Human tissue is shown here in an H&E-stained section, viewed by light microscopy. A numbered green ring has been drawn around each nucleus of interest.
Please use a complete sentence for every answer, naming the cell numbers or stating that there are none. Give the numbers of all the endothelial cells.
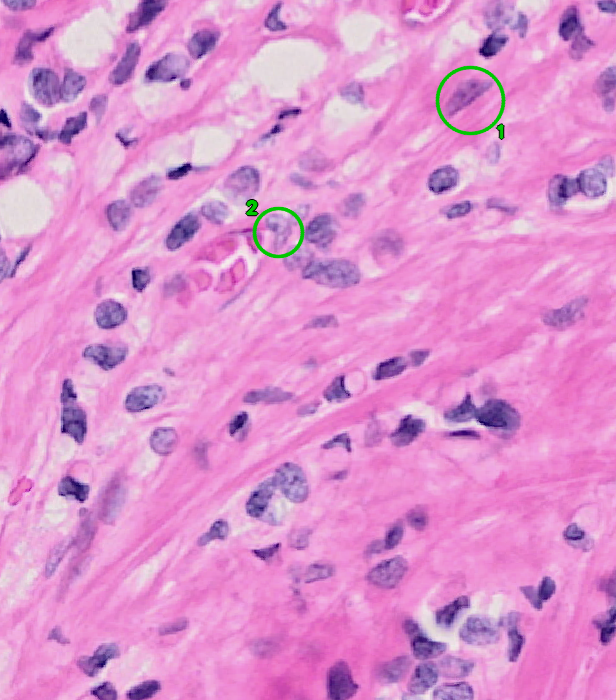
Of the cells carrying numbers, just cell 2 is an endothelial cell.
